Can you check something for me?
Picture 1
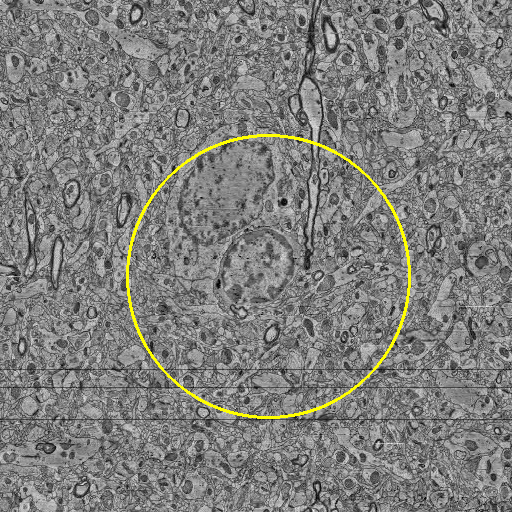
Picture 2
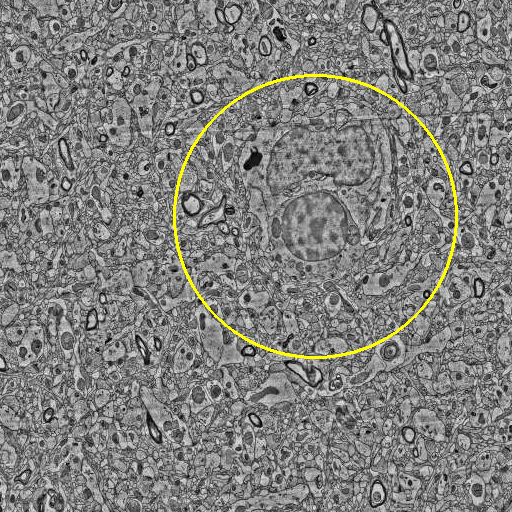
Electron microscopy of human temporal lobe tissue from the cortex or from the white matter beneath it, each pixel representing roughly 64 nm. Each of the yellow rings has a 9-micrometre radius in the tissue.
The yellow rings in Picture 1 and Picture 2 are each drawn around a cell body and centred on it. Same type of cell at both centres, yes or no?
yes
